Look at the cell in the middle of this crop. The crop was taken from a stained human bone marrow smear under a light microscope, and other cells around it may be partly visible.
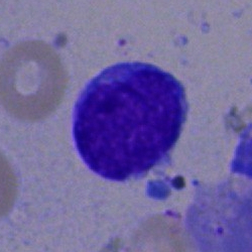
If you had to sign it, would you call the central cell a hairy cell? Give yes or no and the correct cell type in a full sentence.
No, this one is a blast; it is not a hairy cell.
